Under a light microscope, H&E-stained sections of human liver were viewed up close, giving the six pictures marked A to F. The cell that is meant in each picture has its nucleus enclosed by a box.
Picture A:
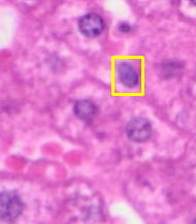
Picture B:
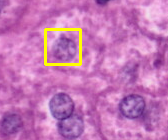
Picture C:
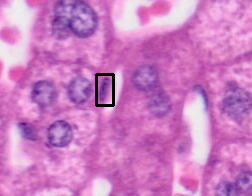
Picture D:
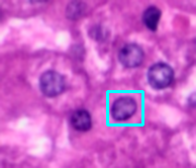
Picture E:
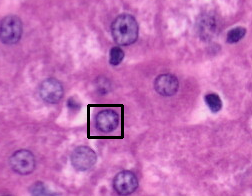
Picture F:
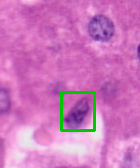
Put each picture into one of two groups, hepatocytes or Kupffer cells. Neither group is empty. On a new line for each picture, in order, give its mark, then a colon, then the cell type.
A: Kupffer cell
B: hepatocyte
C: Kupffer cell
D: hepatocyte
E: hepatocyte
F: Kupffer cell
